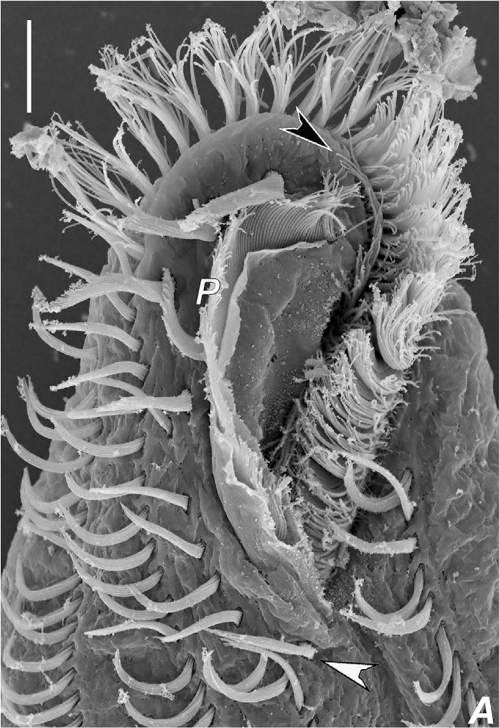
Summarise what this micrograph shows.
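This is the ventral front end of a hypotrich ciliate seen by scanning electron microscopy. A fringe of membranelles curves around the anterior margin, with fine lateral cilia running along one side of the row. The oral region forms an elongate depression bordered by a smooth lip-like flap, with undulating membrane cilia lining it. Stout, curved cirri, each a tuft of fused cilia, stand in rows over the ventral surface on both sides, and a single curved cirrus sits just behind the posterior end of the oral depression. The cell surface is wrinkled and dotted with small pores.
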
